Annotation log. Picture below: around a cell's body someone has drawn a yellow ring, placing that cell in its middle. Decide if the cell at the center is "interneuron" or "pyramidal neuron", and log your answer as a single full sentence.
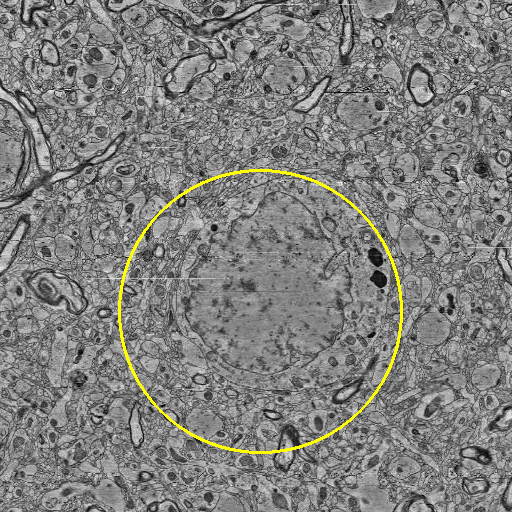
My entry records a pyramidal neuron as the cell sitting at the center of the yellow ring.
